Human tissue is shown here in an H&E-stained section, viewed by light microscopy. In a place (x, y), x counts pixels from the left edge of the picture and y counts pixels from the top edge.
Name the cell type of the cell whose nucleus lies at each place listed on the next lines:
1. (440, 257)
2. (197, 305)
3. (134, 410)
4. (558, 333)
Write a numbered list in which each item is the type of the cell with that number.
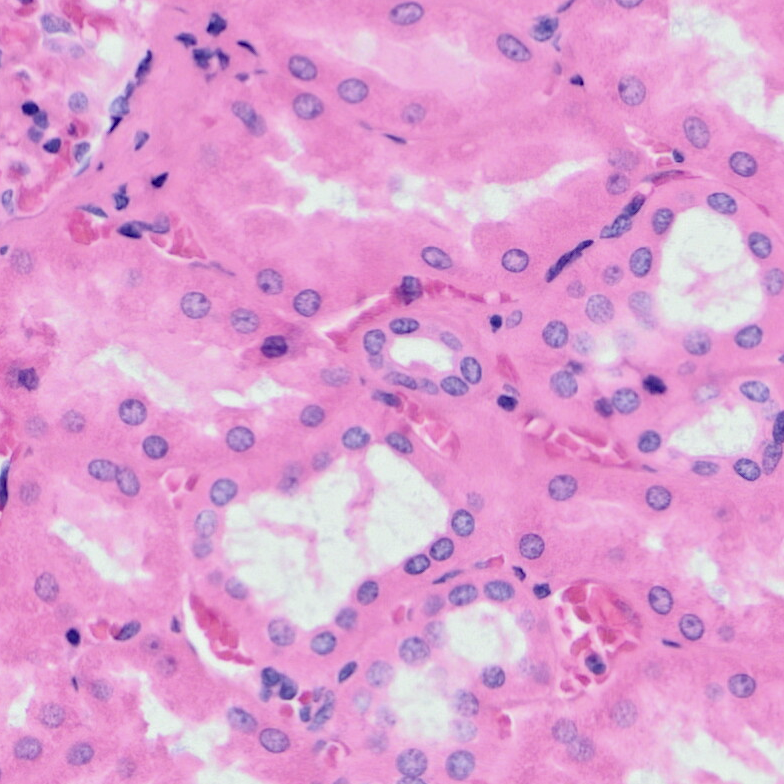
1. proximal tubule cell
2. proximal tubule cell
3. proximal tubule cell
4. loop of Henle or distal tubule cell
